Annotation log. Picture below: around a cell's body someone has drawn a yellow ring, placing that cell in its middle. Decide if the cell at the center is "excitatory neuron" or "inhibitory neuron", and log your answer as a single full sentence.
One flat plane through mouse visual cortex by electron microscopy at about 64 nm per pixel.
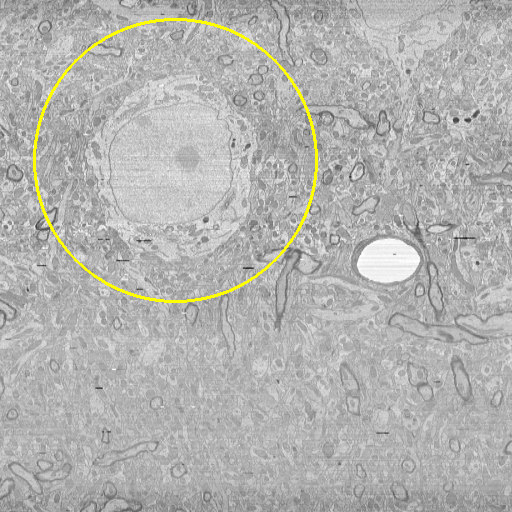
My entry records an excitatory neuron as the cell sitting at the center of the yellow ring.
